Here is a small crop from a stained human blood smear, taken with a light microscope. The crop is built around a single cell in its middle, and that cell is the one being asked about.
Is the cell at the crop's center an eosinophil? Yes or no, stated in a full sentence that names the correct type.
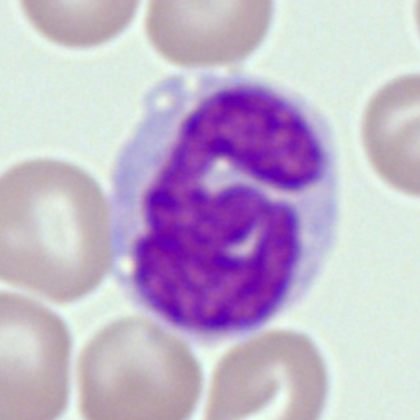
No, the cell in the middle is a monocyte; it is not an eosinophil.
